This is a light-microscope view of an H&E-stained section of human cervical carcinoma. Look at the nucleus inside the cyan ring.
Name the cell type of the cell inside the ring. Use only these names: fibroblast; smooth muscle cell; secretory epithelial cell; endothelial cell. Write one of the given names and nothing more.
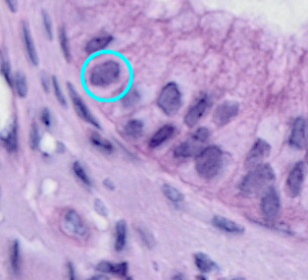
secretory epithelial cell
